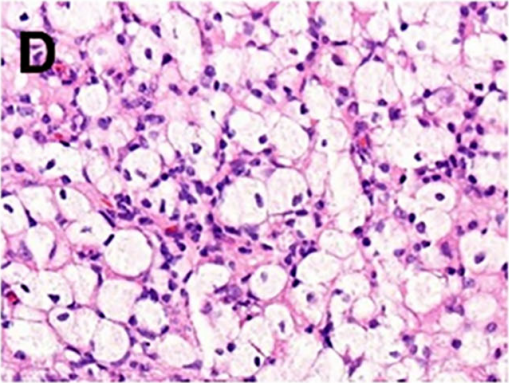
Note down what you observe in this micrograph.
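Sheets of large foam-like cells with a xanthoma-like appearance. The cells are polygonal to rounded, with abundant pale, clear to finely vacuolated cytoplasm and sharp, thin pink cell borders. Nuclei are dark, small relative to the cell body, and often pushed to one side; some are irregular or indented in outline. Between the clear cells run thin strands of pink stroma carrying smaller cells with darker, elongated nuclei and narrow capillaries holding a few red blood cells. There is no glandular or tubular arrangement in this field; the cells grow as a diffuse sheet.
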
